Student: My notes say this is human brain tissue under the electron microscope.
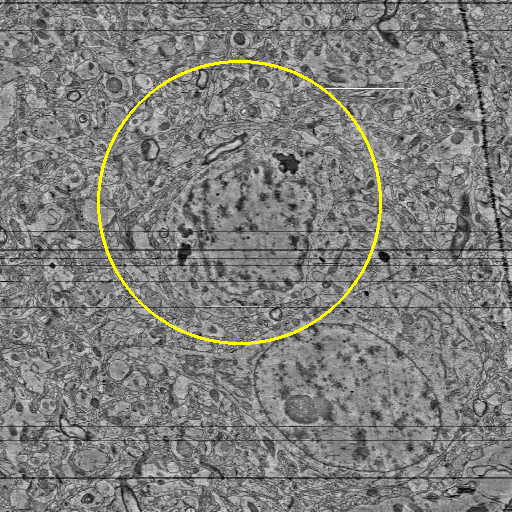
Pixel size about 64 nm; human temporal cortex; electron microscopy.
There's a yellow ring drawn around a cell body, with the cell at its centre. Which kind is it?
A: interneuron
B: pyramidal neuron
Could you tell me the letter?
A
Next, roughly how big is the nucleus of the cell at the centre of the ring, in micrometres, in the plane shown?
In this plane, the nucleus is roughly 10 by 8 micrometres.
